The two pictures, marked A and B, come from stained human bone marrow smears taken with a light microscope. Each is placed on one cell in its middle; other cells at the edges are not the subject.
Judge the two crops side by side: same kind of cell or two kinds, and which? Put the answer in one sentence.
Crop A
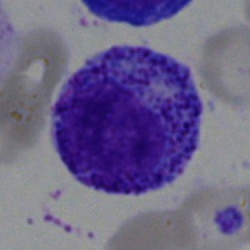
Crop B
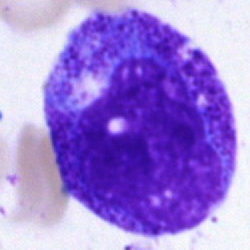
Yes, the central cells in both crops are promyelocytes.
